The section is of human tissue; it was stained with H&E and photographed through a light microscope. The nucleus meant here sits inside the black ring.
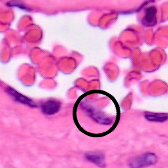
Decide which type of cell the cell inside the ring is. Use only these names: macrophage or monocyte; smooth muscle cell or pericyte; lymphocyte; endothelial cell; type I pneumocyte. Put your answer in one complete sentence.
The category to which the cell inside the ring belongs is that of an endothelial cell.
